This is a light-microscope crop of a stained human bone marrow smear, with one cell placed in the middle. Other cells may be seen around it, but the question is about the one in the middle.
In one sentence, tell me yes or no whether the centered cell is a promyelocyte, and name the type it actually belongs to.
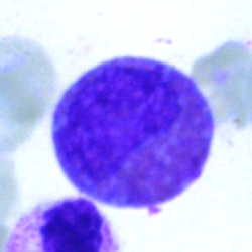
No, this cell in the middle is an eosinophil, so it is not a promyelocyte.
